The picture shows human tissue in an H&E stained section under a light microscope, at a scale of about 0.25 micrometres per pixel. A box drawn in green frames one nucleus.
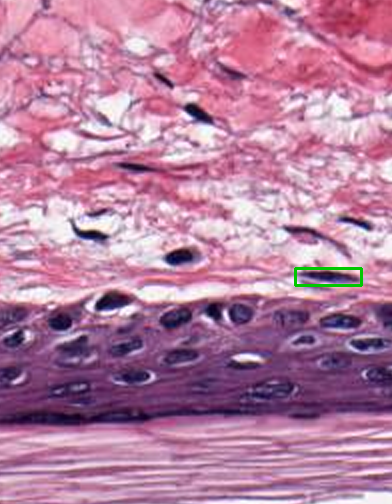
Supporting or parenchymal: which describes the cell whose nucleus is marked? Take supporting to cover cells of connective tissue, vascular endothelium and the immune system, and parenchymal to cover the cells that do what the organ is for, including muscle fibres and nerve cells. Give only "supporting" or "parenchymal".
supporting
